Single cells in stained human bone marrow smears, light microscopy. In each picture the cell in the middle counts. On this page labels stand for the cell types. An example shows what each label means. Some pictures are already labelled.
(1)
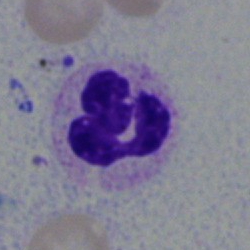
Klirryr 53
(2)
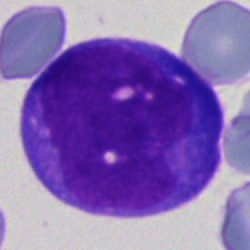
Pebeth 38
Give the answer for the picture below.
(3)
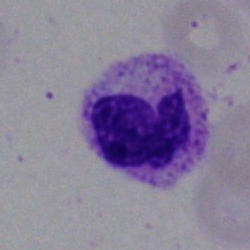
Klirryr 53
